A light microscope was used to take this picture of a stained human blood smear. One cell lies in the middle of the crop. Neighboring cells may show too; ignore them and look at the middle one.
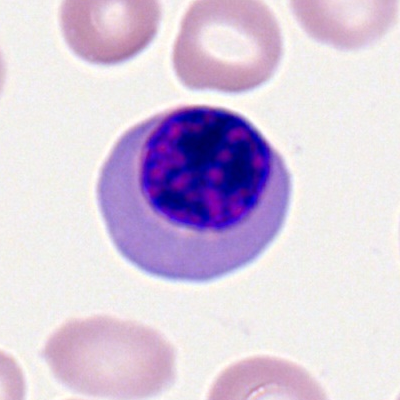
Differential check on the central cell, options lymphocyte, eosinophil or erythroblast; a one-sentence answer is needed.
The cell in the middle of the field of view is an erythroblast.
